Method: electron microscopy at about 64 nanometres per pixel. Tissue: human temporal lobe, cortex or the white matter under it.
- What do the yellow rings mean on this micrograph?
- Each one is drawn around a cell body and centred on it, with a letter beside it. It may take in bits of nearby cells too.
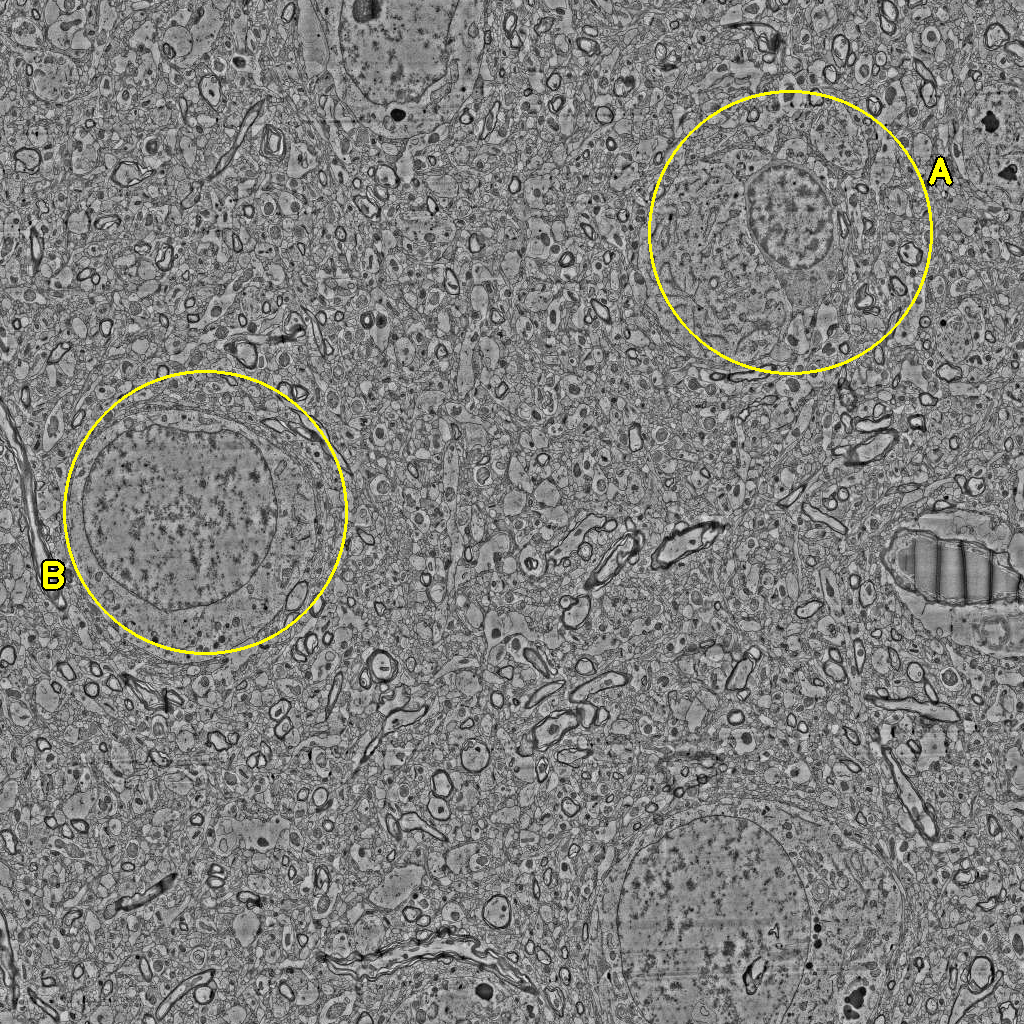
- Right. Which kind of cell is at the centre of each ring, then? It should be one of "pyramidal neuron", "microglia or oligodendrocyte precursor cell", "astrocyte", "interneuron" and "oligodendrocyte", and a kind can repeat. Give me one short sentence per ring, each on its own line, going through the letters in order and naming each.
Ring A circles the cell body of an oligodendrocyte.
Ring B circles the cell body of a pyramidal neuron.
